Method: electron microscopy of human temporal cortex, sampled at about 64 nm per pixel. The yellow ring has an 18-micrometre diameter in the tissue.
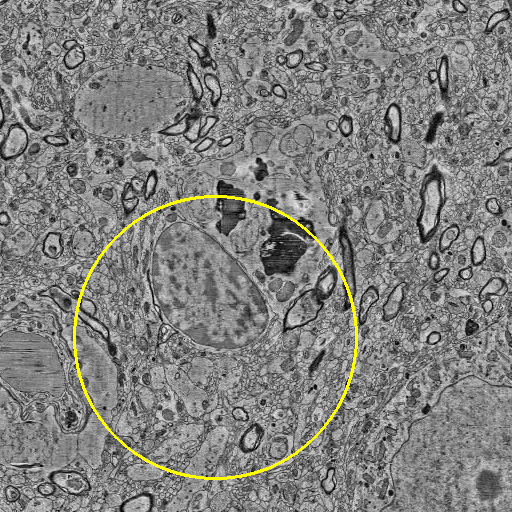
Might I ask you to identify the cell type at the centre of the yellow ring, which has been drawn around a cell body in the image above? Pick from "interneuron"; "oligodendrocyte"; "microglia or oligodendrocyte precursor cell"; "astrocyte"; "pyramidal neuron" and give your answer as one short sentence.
The centre of the ring falls on a microglial cell or oligodendrocyte precursor cell.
